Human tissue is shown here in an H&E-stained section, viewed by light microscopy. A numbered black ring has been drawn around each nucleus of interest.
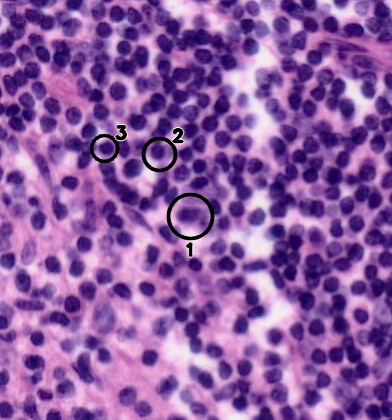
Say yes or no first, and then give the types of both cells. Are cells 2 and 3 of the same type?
Yes, both are small lymphocytes.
